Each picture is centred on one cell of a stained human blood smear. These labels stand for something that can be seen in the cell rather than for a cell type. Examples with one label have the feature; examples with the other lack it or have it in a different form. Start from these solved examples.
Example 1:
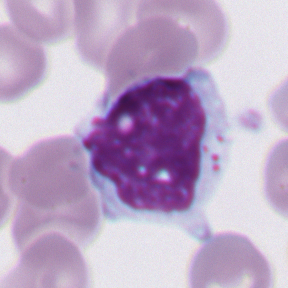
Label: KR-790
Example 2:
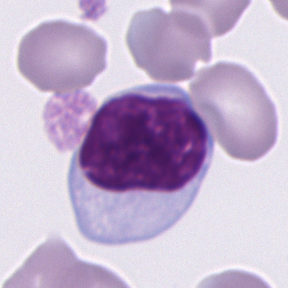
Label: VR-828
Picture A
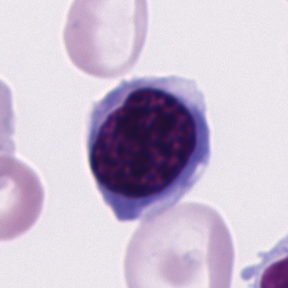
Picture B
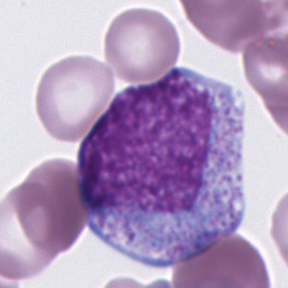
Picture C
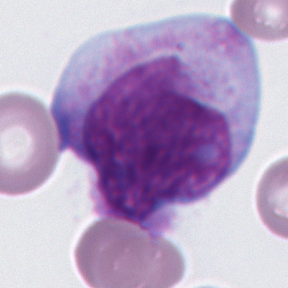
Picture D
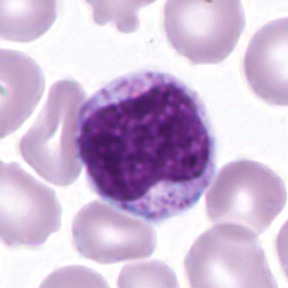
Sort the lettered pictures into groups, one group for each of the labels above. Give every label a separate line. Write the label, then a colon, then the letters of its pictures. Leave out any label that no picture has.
KR-790: A, D
VR-828: B, C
